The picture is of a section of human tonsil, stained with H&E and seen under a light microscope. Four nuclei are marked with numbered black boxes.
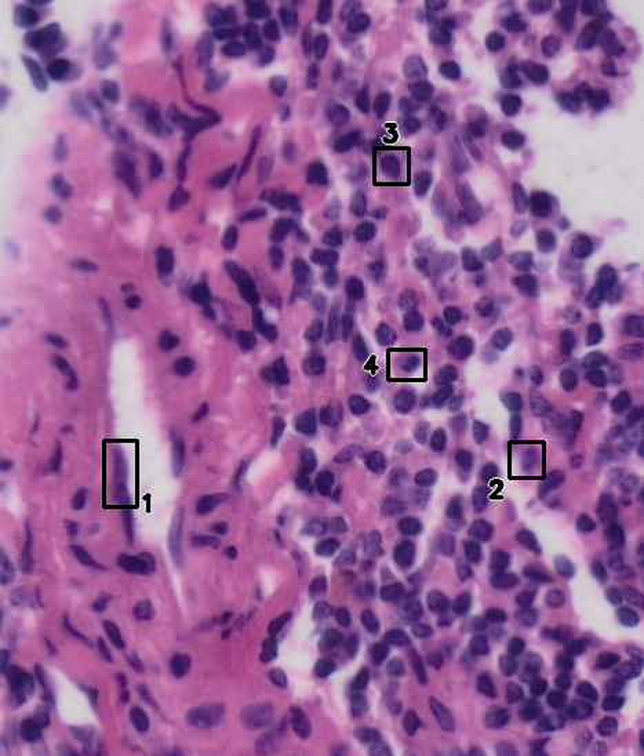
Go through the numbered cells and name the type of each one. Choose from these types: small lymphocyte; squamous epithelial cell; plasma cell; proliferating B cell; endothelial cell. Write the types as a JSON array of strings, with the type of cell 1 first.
["endothelial cell", "endothelial cell", "plasma cell", "plasma cell"]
